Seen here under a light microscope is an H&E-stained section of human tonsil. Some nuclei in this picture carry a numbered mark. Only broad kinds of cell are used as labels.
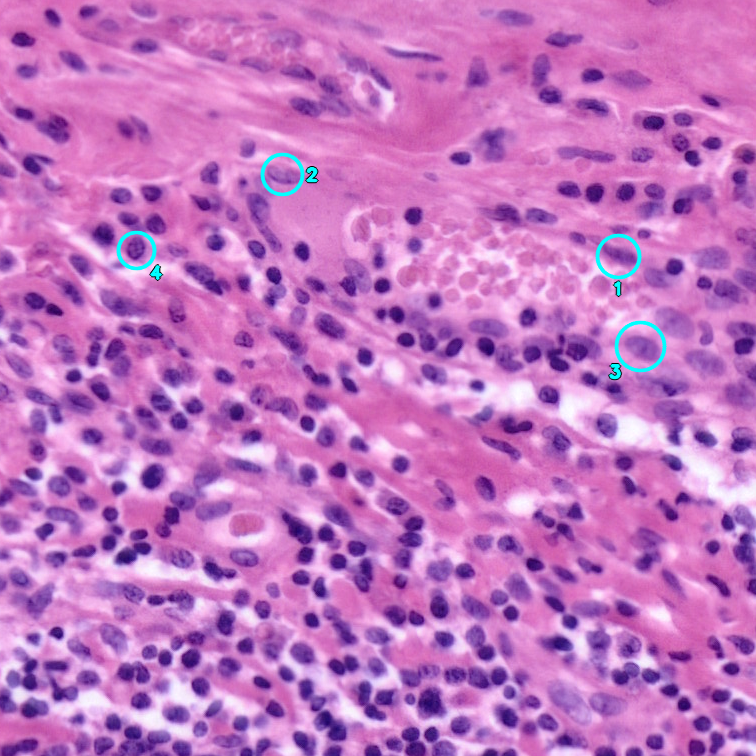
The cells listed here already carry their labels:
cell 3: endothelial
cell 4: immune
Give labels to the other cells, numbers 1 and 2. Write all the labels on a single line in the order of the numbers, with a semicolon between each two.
endothelial; endothelial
